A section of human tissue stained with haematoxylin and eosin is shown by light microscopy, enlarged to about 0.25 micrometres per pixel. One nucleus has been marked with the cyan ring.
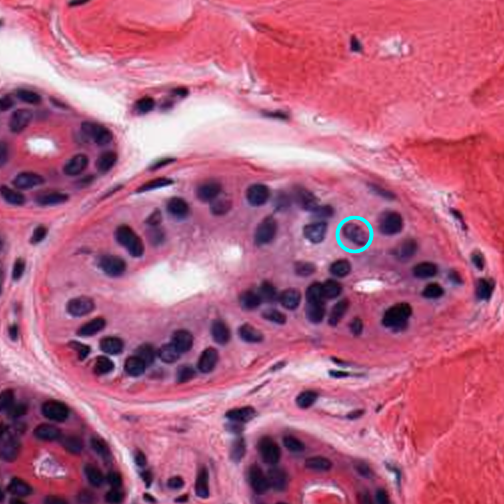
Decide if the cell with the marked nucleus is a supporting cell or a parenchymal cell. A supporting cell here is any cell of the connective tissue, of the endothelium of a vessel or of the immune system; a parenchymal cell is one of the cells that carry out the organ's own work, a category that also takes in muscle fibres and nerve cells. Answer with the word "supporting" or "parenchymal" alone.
parenchymal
